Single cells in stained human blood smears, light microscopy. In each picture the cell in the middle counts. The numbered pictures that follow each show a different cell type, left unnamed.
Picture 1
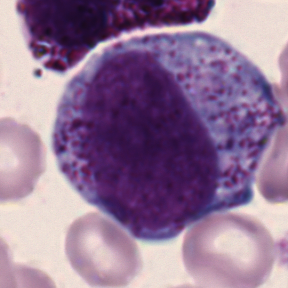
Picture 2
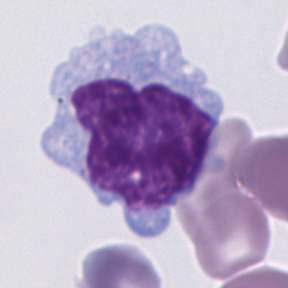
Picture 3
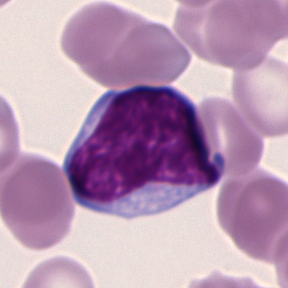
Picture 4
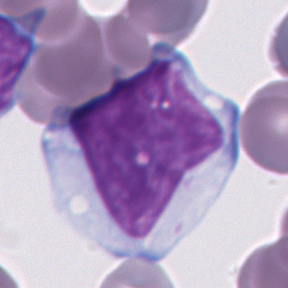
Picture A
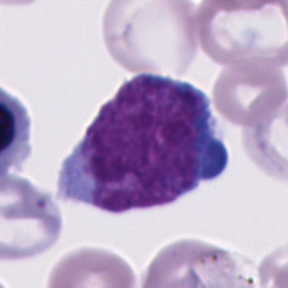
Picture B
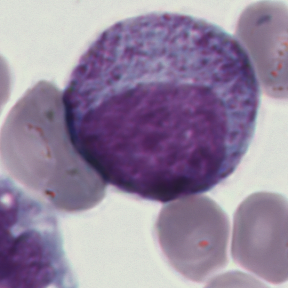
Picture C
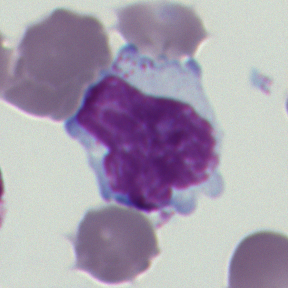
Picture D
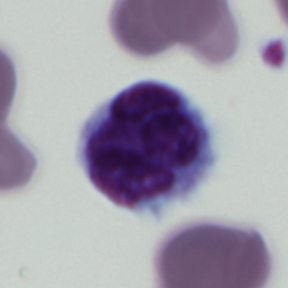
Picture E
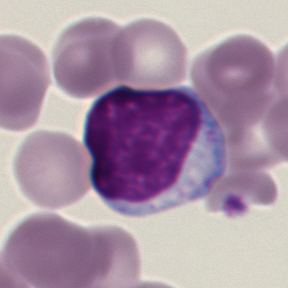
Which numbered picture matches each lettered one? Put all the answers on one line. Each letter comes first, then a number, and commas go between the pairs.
A 4, B 1, C 3, D 2, E 3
